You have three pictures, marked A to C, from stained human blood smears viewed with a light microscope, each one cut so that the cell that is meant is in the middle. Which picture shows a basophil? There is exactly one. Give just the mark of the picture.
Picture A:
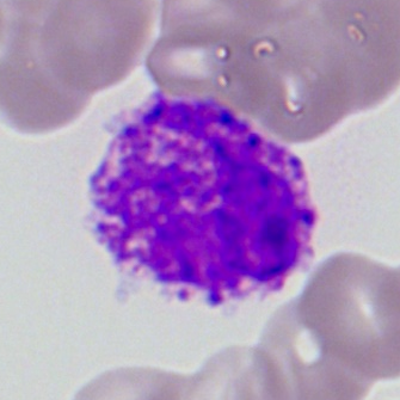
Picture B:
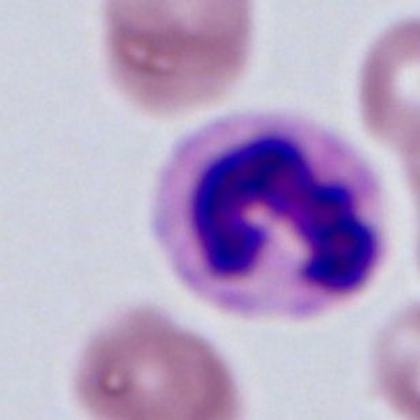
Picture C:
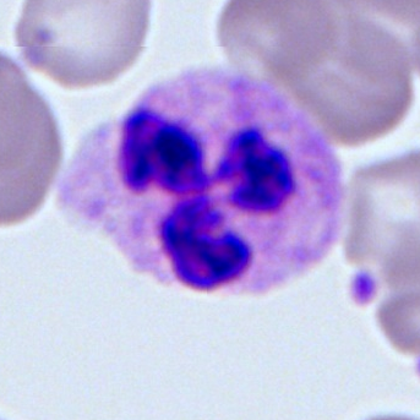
A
